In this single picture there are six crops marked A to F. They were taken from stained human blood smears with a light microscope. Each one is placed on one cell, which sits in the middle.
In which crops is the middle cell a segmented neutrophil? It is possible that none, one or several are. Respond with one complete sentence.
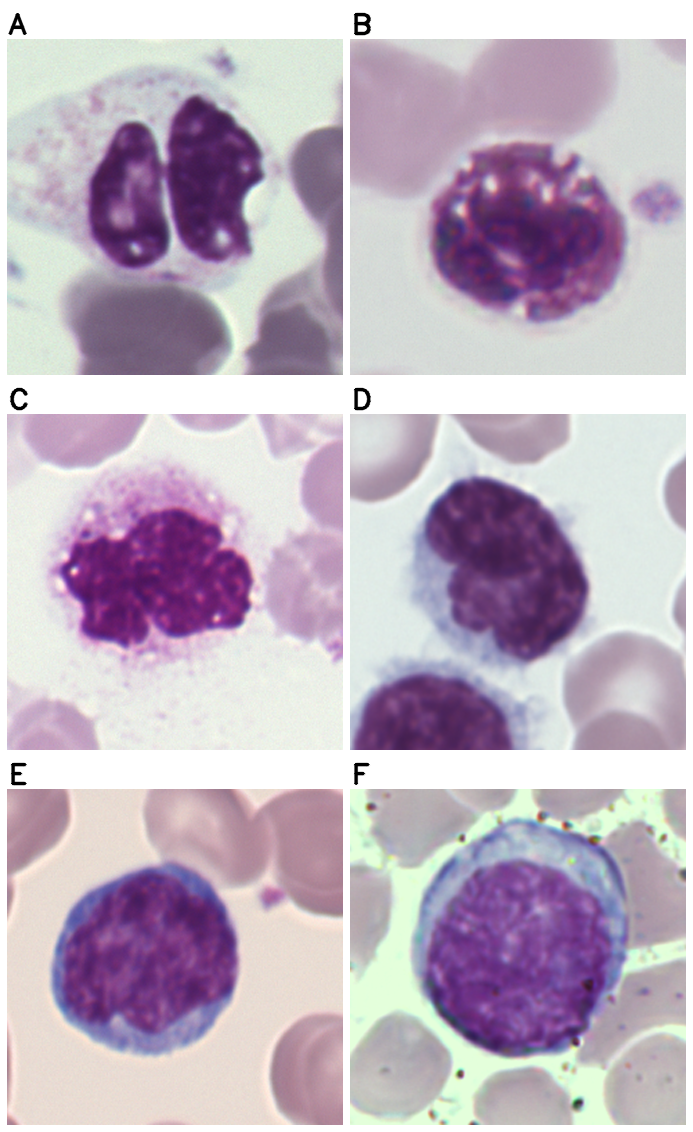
The central cells of crops A and C fall into the category of segmented neutrophils.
